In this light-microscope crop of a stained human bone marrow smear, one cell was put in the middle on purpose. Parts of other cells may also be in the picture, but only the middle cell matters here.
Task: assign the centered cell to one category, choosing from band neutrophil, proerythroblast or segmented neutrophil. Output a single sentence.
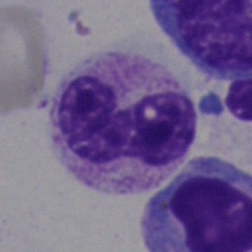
The cell in the middle of this crop is a band neutrophil.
